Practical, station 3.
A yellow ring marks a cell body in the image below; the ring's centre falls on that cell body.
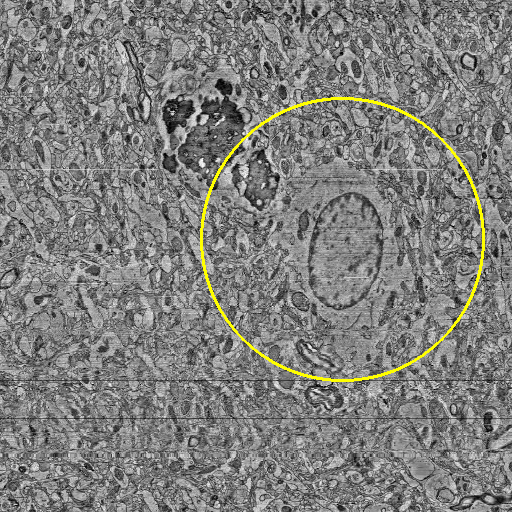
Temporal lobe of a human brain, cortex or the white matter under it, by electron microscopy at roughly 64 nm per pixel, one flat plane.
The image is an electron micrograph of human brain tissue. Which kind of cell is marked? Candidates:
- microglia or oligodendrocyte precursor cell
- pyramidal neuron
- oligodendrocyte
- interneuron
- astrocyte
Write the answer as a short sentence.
The marked cell body is that of an astrocyte.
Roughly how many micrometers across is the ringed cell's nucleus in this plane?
At approximately 8 by 5 micrometres, the nucleus is clearly longer than it is wide in this plane.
